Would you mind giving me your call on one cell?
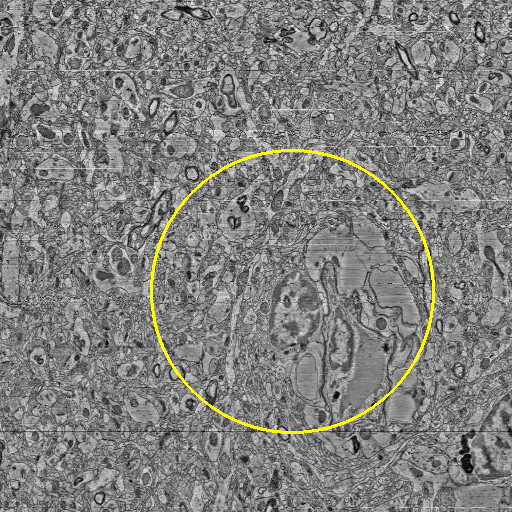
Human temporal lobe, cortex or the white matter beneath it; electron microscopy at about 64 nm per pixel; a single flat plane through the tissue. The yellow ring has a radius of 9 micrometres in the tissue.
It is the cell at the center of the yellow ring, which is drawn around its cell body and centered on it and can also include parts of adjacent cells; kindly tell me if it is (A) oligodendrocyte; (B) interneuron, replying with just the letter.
A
